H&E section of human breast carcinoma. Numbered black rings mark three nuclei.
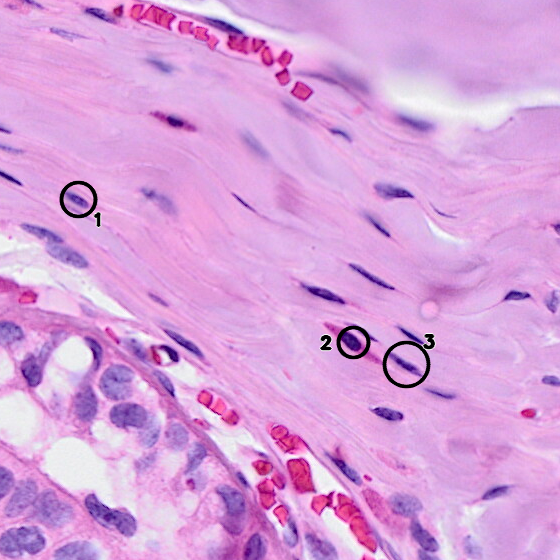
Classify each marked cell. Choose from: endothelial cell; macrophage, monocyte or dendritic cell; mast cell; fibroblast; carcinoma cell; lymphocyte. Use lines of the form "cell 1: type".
cell 1: fibroblast
cell 2: mast cell
cell 3: fibroblast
